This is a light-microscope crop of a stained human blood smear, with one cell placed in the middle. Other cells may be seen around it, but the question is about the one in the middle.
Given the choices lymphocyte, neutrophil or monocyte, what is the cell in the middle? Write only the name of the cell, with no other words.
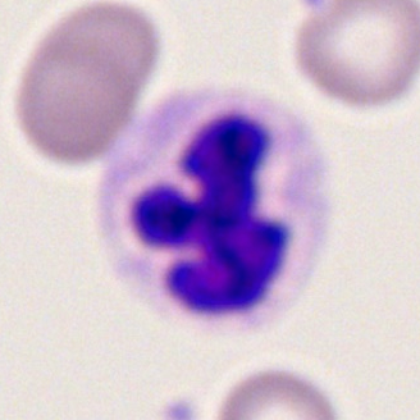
neutrophil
